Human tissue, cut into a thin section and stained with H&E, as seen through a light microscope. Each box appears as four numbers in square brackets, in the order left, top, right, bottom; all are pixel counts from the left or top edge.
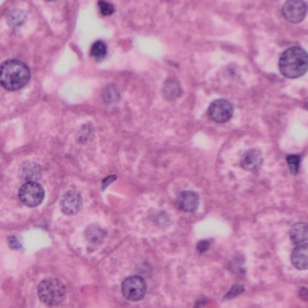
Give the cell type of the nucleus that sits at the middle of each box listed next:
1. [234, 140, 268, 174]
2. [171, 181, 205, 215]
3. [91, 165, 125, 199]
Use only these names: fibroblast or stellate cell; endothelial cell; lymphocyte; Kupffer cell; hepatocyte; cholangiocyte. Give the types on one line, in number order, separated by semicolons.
hepatocyte; hepatocyte; endothelial cell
